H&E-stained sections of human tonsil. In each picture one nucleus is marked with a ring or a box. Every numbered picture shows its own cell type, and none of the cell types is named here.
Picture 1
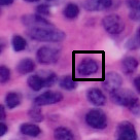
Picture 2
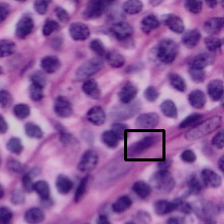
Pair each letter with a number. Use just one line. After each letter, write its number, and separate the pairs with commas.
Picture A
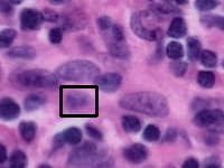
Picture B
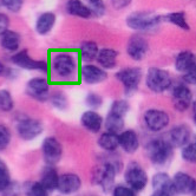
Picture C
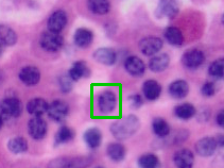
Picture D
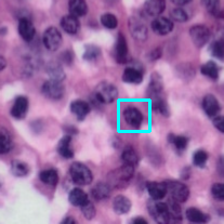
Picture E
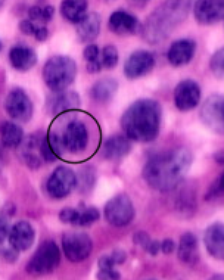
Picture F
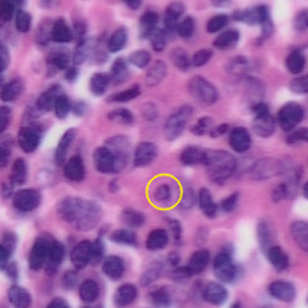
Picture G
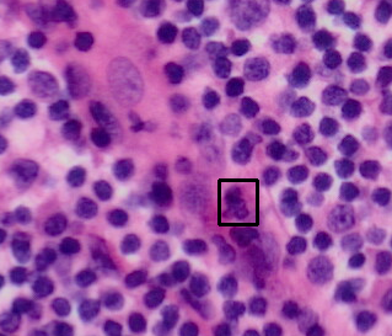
A 2, B 1, C 1, D 1, E 1, F 2, G 2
